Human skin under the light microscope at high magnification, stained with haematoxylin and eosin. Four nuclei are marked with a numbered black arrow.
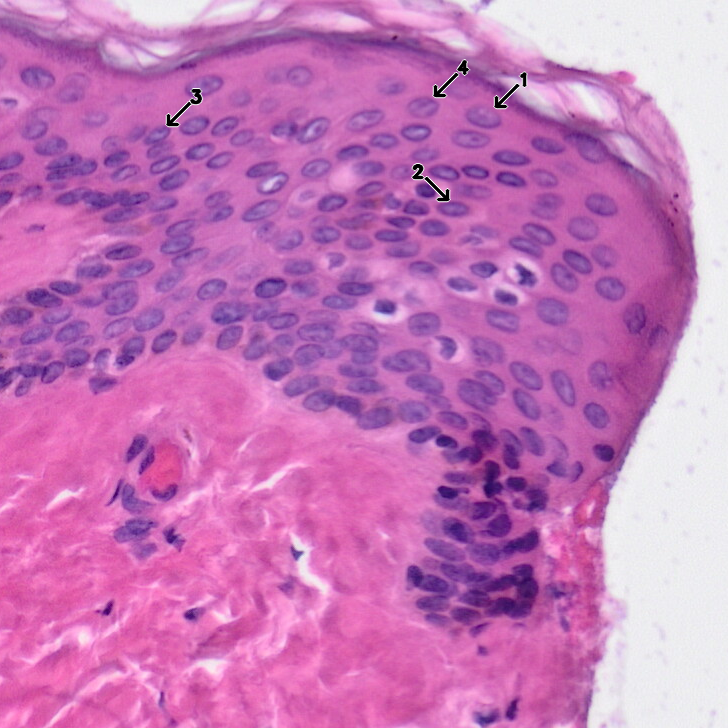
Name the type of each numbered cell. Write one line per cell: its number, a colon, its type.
1: suprabasal keratinocyte
2: basal keratinocyte
3: suprabasal keratinocyte
4: suprabasal keratinocyte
